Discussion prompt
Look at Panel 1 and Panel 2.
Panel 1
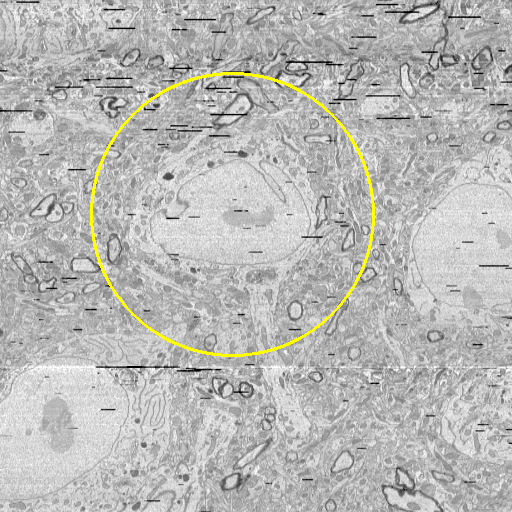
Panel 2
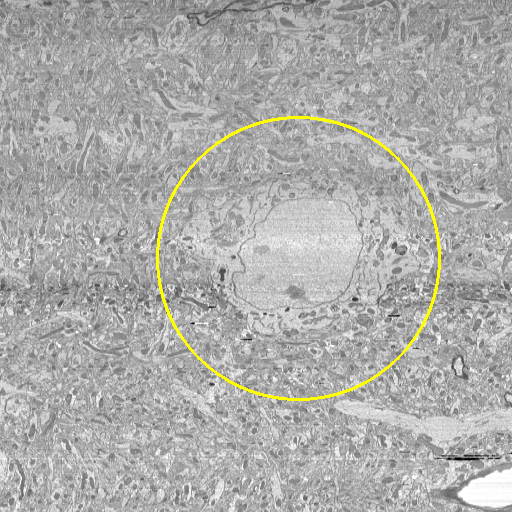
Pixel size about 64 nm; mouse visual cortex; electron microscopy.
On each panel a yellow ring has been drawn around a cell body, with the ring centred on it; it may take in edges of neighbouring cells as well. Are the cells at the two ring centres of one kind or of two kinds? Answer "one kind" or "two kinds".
one kind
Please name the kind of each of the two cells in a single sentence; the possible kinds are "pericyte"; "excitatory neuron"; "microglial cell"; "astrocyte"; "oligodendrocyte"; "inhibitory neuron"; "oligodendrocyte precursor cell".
The second cell is an excitatory neuron, just as the first is.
